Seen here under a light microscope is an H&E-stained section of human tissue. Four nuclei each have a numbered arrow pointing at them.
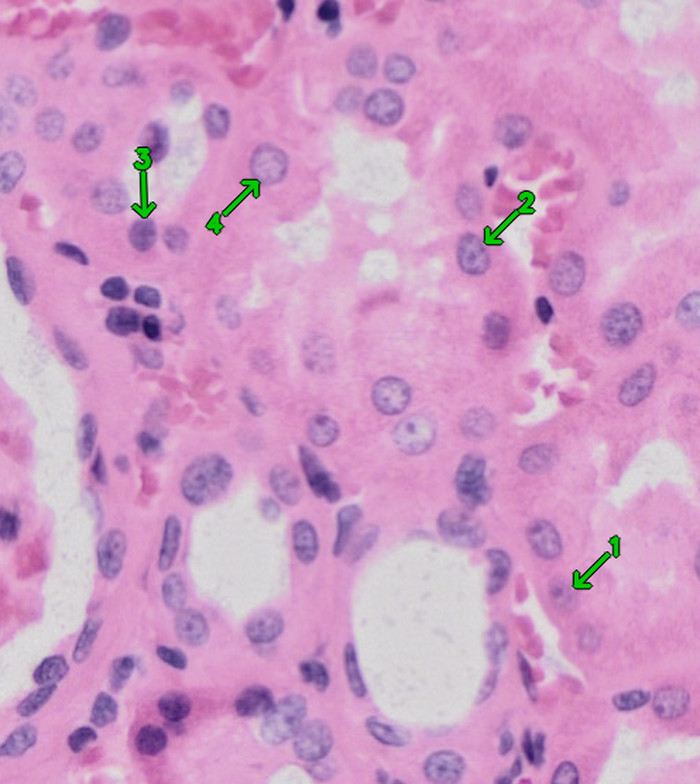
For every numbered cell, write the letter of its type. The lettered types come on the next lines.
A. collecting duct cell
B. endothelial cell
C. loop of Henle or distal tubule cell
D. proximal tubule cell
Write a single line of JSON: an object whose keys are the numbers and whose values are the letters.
{"1": "D", "2": "D", "3": "C", "4": "D"}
